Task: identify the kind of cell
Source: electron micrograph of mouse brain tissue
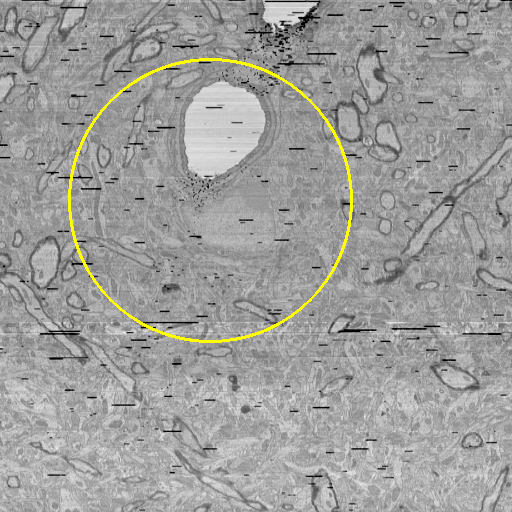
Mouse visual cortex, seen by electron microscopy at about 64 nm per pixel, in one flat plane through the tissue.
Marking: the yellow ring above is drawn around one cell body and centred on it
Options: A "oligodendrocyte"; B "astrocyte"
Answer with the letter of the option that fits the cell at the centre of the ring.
B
